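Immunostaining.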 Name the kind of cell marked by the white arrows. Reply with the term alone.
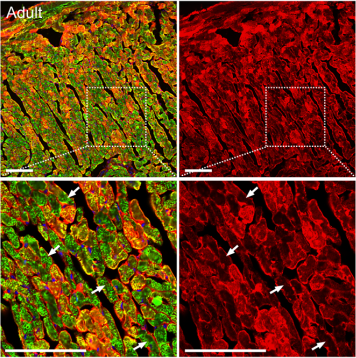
Cardiomyocytes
